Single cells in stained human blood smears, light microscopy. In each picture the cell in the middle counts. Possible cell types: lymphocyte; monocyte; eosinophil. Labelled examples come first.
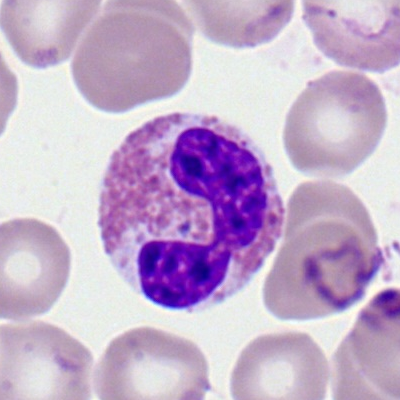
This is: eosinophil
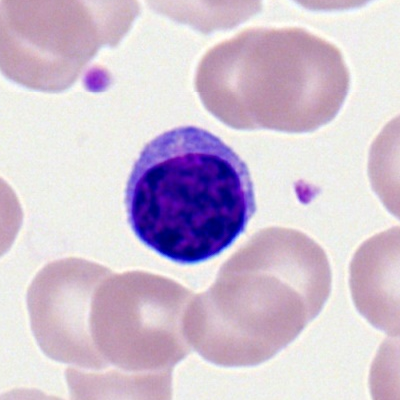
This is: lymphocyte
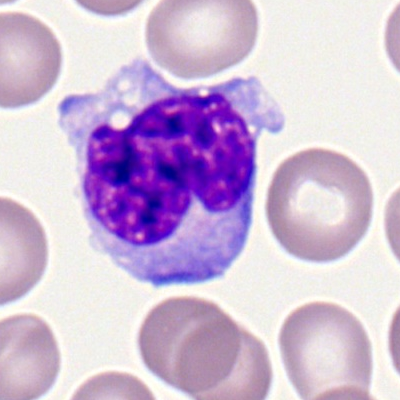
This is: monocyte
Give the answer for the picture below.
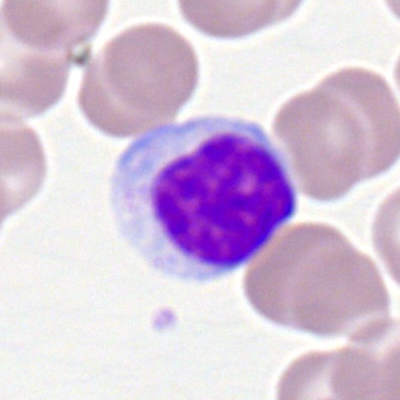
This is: lymphocyte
